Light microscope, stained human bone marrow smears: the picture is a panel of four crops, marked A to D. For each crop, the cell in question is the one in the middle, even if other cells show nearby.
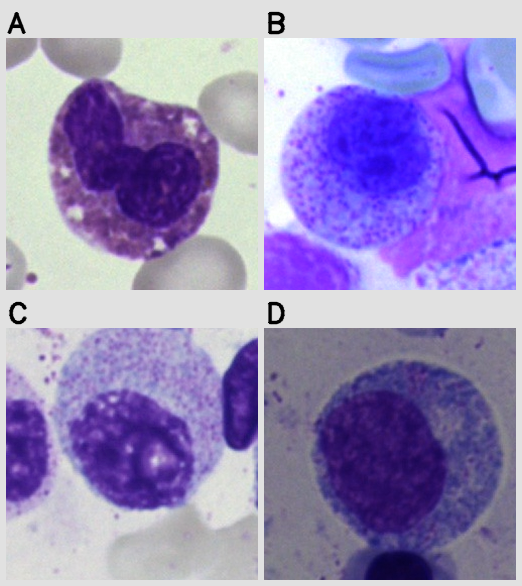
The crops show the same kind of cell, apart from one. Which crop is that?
A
